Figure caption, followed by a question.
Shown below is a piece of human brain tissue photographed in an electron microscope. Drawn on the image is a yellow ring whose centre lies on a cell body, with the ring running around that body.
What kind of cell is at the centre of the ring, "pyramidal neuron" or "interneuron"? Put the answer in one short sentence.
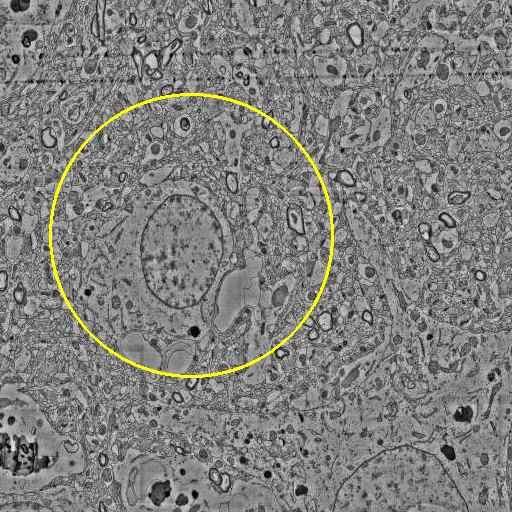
The ring marks the cell body of a pyramidal neuron.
